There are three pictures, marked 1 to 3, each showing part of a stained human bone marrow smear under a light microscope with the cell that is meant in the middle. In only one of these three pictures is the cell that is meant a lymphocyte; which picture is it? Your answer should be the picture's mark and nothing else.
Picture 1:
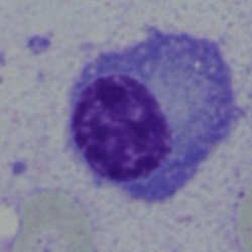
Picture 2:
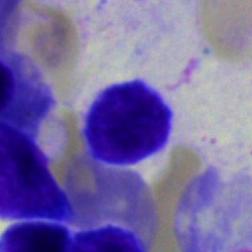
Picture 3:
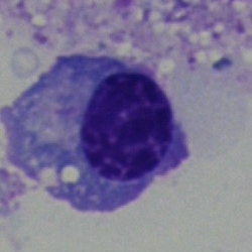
2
